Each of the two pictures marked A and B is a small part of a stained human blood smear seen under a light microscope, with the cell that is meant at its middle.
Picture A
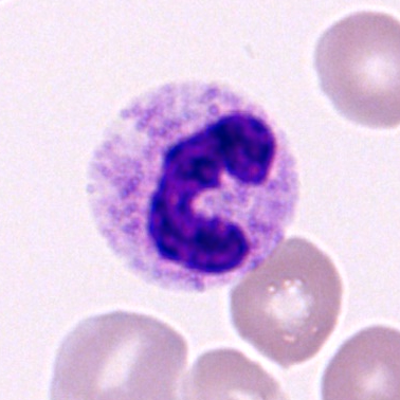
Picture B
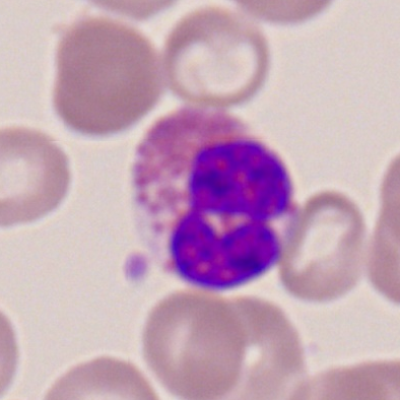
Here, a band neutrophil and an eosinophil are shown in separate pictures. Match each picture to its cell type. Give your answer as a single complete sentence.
In picture A the cell is a band neutrophil; in picture B, an eosinophil.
